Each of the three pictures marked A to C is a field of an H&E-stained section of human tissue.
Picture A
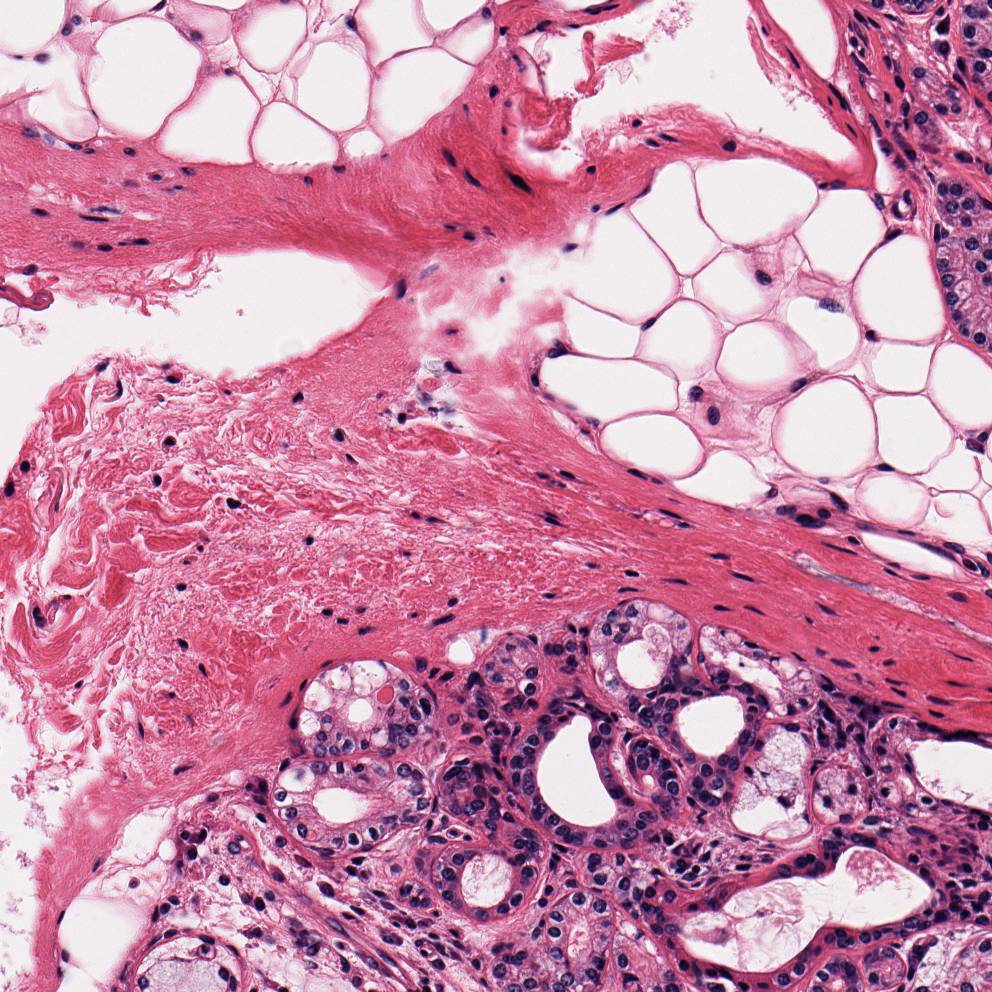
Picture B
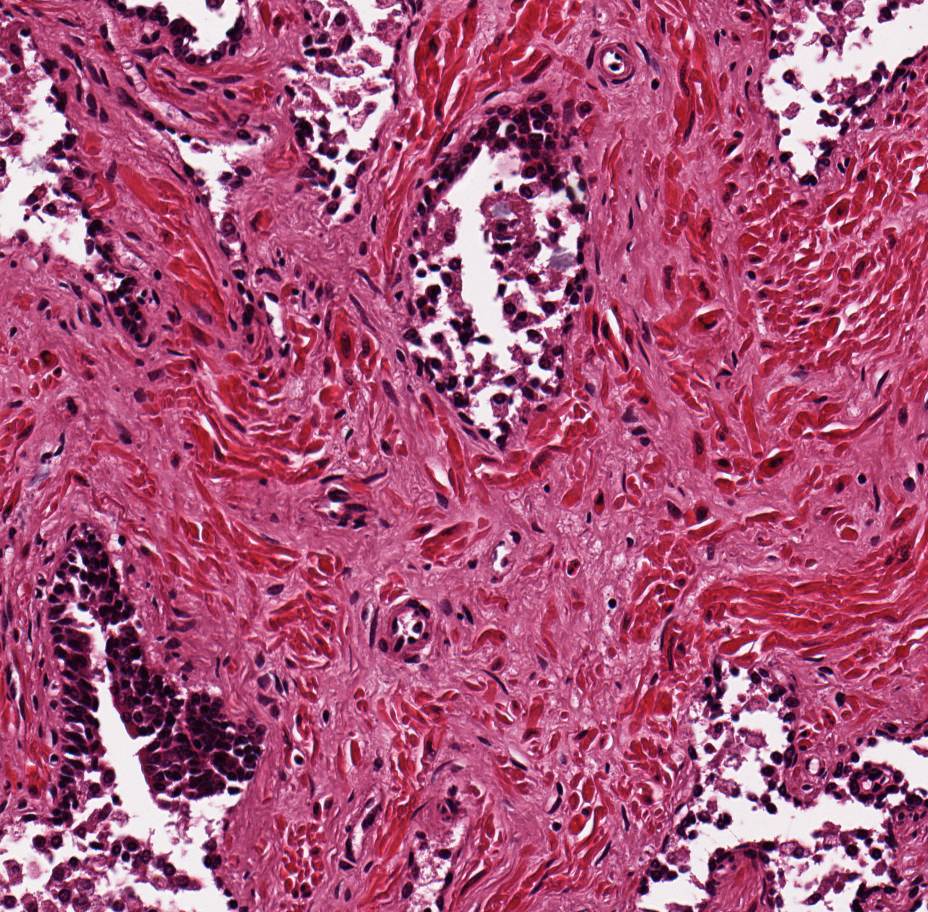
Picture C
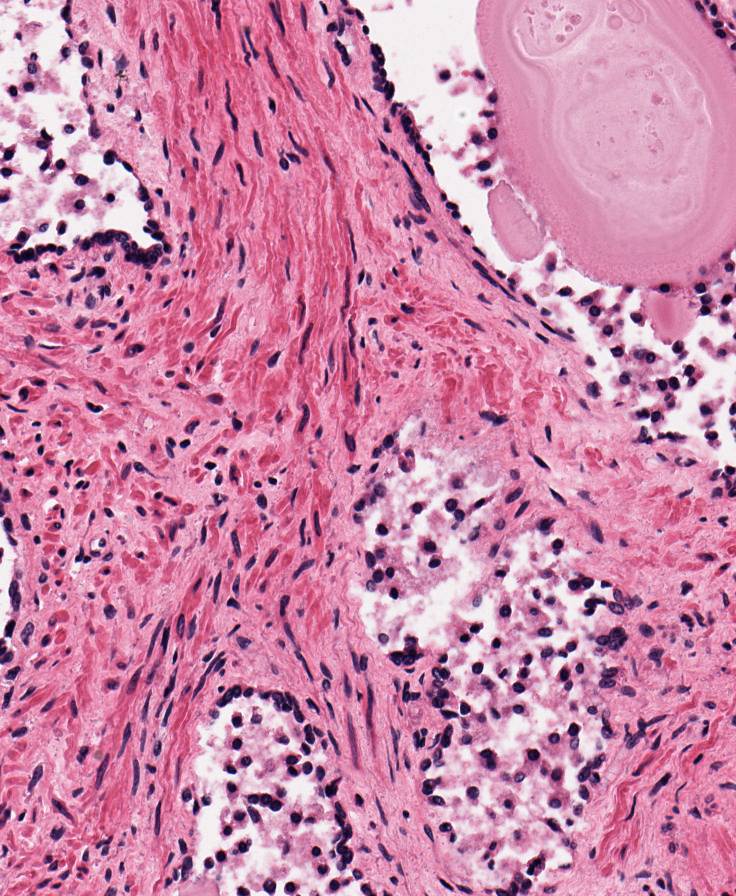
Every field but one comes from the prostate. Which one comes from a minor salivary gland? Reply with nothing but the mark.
A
